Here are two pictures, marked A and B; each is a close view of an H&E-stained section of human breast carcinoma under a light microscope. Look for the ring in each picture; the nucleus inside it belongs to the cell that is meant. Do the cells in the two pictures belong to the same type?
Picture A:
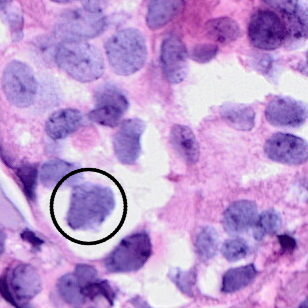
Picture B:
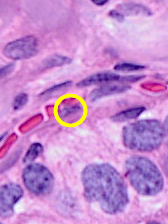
no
